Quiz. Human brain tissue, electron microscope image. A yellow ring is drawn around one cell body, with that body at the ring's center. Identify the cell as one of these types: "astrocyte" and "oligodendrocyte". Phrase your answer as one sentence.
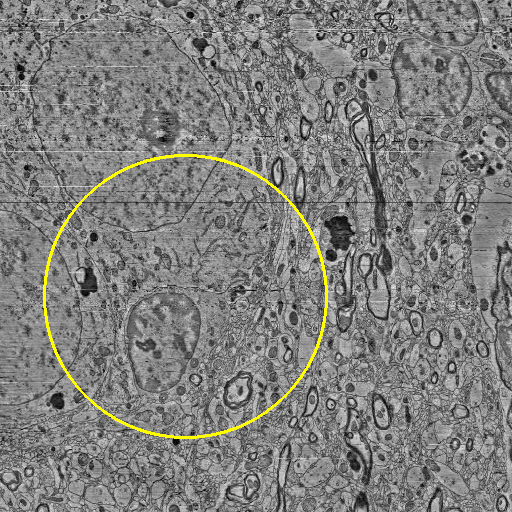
At the center of the ring sits an oligodendrocyte.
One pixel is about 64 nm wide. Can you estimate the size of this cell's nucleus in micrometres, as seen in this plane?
The ringed cell's nucleus is about 7 micrometres long and 5 micrometres wide in this plane.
